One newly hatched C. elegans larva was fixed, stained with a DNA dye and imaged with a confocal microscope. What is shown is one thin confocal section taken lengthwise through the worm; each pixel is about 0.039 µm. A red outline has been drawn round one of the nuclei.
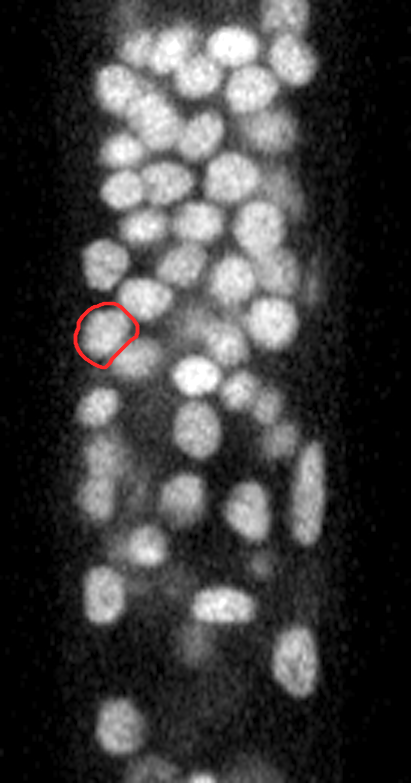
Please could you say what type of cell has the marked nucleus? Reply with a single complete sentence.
The marked cell is a neuron.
